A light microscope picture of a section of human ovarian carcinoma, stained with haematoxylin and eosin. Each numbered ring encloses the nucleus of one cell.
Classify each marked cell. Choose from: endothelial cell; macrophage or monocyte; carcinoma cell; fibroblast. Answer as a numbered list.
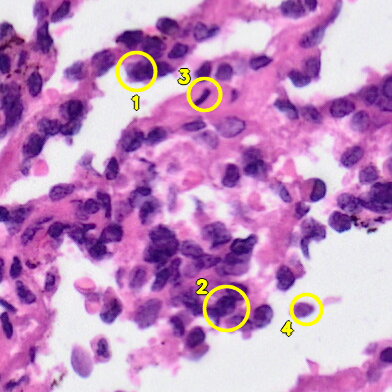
1. carcinoma cell
2. carcinoma cell
3. endothelial cell
4. carcinoma cell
